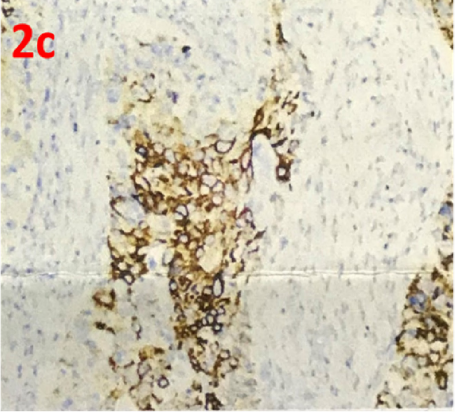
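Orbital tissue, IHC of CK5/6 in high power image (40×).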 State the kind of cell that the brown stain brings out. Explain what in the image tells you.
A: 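Tumor cells. Brown stain outlines the membranes of a cluster of cells. Surrounding spindle-cell tissue is unstained blue.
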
